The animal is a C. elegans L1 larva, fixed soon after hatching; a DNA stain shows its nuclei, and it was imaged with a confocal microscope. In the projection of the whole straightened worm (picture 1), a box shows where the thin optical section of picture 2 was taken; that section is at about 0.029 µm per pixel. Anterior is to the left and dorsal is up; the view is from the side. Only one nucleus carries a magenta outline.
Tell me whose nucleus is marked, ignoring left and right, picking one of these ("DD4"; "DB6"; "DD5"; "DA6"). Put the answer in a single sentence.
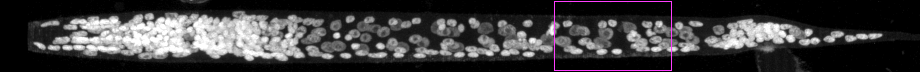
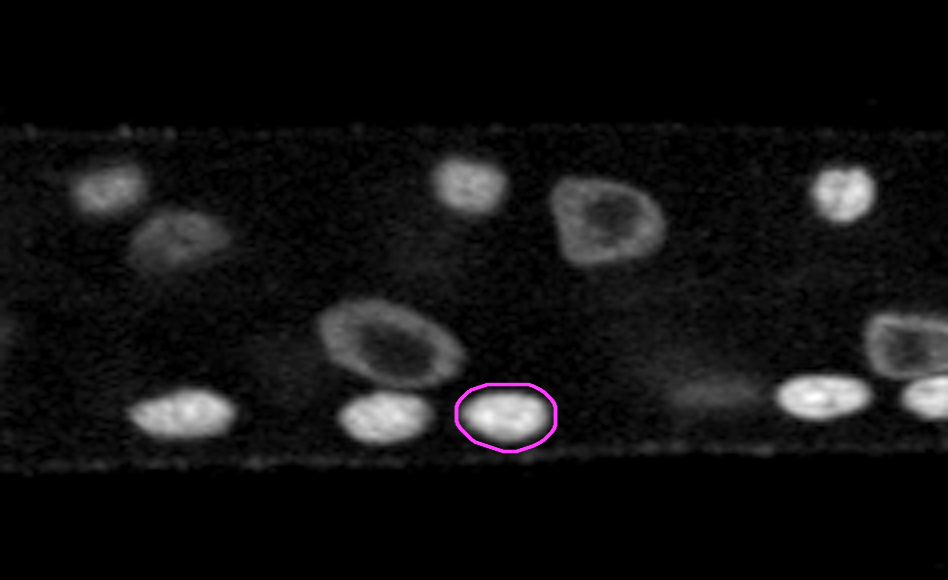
The nucleus is from DA6, a neuron.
